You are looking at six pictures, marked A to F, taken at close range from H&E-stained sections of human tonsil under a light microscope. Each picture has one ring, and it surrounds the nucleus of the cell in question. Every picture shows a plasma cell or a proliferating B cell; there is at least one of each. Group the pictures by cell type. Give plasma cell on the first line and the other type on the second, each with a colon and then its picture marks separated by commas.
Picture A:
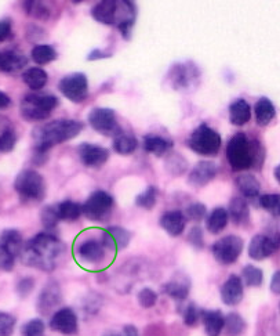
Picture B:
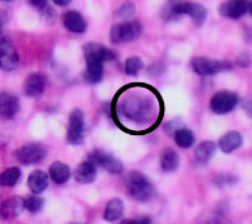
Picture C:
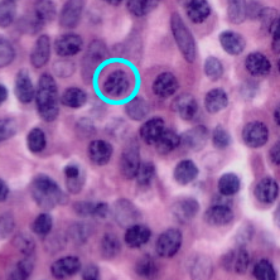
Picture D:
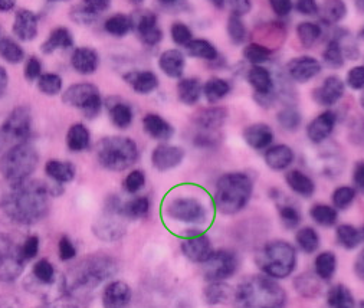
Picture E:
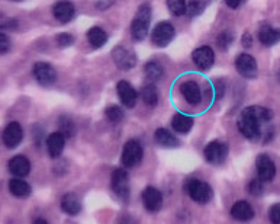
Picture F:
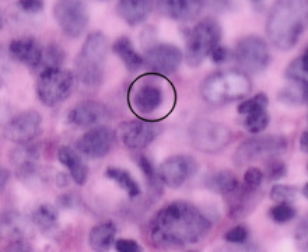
plasma cell: C, E
proliferating B cell: A, B, D, F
